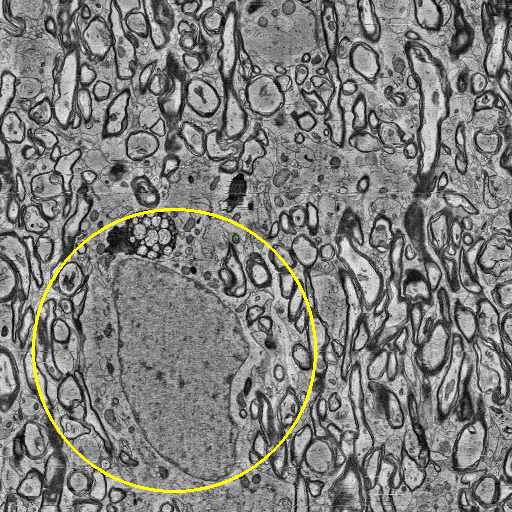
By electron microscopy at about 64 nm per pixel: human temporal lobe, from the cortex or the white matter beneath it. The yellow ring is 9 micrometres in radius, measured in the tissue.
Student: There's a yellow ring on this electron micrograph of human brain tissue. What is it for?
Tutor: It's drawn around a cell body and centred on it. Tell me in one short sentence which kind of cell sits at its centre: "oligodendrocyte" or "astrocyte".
The cell at the centre of the ring is an astrocyte.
